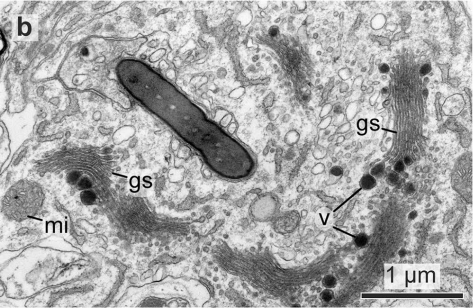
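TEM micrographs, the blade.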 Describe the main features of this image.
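This is a close view of a follicle cell in which an electron-dense, rod-shaped piece of chaetal material lies in the middle of the cytoplasm. Around it are several curved Golgi stacks of flattened cisternae, with small very dark vesicles gathered near them, and a mitochondrion at the side. The cytoplasm is crowded with many small clear vesicles.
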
